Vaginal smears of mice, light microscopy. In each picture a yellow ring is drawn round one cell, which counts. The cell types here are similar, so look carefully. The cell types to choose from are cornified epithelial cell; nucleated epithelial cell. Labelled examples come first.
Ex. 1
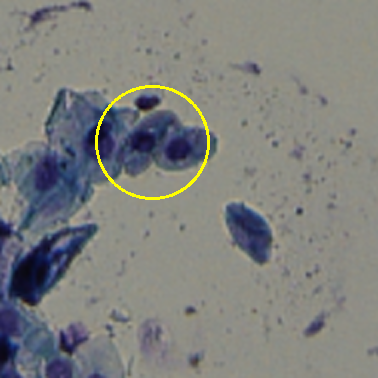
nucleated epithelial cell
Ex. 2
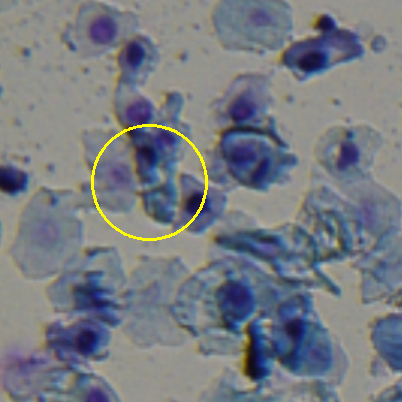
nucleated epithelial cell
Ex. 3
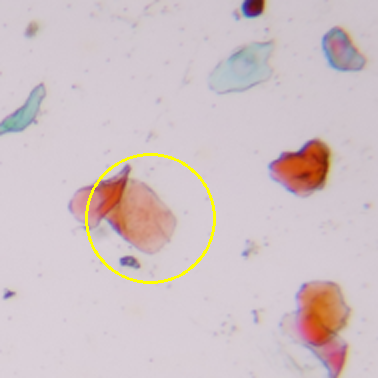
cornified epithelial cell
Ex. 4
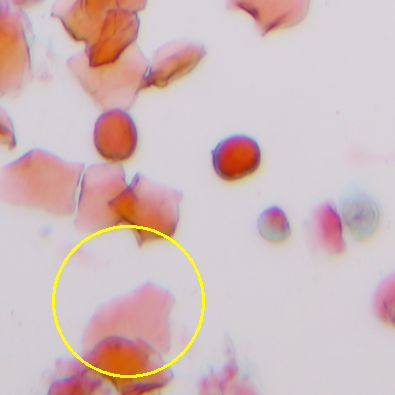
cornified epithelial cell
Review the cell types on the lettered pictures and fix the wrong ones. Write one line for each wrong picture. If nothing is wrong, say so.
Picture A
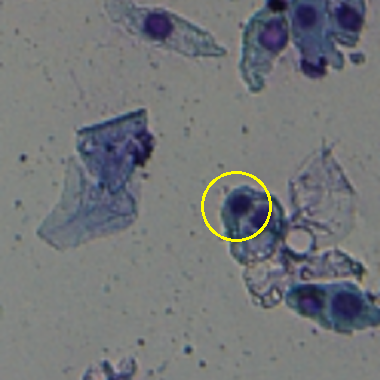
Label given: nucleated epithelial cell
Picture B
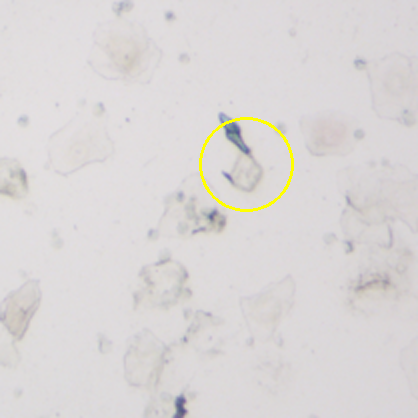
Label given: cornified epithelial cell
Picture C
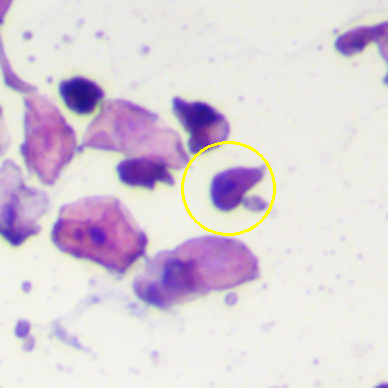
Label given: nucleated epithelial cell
No label is wrong.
